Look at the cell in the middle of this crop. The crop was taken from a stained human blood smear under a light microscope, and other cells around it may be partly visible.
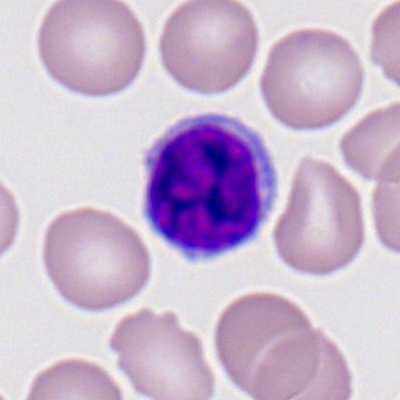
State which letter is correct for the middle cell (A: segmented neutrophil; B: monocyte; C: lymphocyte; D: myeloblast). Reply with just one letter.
C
